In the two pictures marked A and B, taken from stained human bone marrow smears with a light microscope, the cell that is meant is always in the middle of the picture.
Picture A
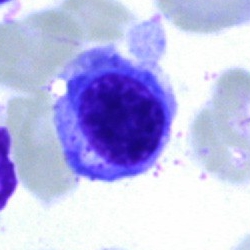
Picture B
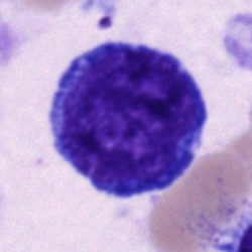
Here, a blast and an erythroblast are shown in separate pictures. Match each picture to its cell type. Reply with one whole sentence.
It is picture A that shows an erythroblast, and picture B that shows a blast.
